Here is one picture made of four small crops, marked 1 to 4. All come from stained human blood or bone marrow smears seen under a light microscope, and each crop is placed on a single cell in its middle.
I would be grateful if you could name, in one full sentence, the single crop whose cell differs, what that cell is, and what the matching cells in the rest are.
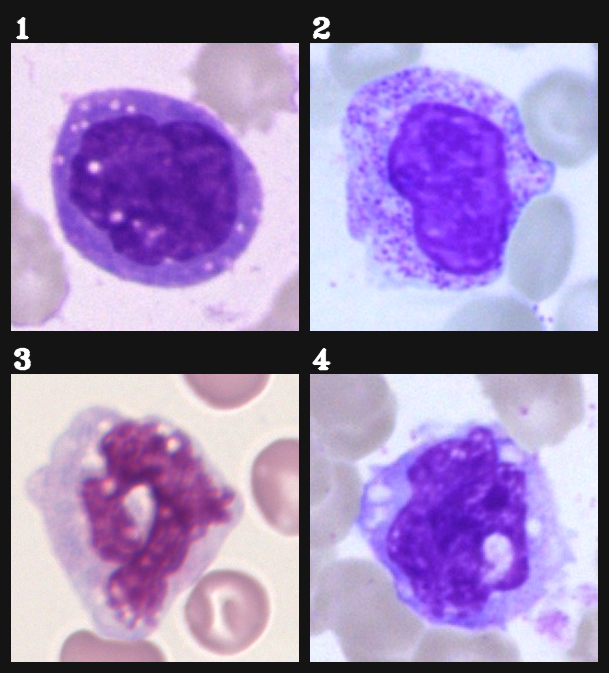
The single exception is crop 2, which is a myelocyte; all other crops show monocytes.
